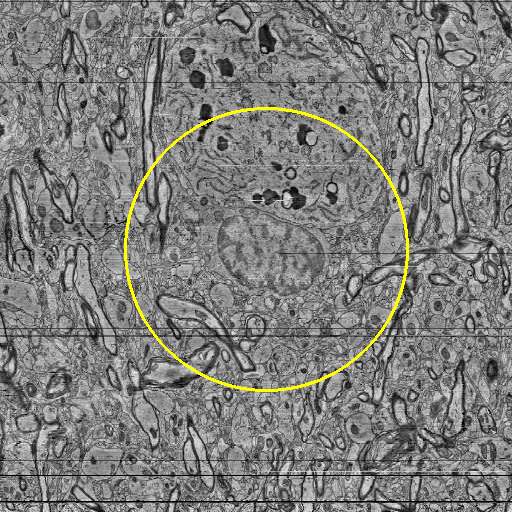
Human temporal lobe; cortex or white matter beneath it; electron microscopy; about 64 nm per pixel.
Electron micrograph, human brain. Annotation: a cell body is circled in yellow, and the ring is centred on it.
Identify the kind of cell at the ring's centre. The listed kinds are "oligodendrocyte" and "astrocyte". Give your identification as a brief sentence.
The circled cell body is that of an oligodendrocyte.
